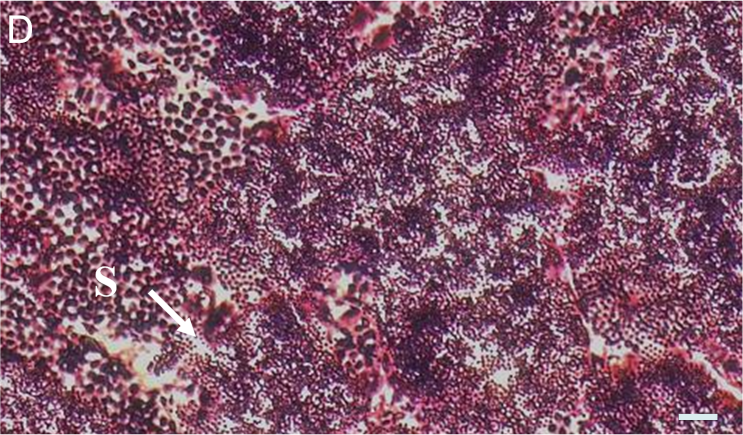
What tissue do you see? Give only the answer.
Testis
